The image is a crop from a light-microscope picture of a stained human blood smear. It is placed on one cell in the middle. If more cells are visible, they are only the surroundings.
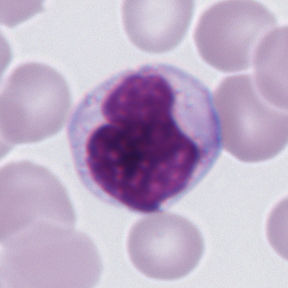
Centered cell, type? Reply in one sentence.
The cell of interest, in the center, is a large granular lymphocyte.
